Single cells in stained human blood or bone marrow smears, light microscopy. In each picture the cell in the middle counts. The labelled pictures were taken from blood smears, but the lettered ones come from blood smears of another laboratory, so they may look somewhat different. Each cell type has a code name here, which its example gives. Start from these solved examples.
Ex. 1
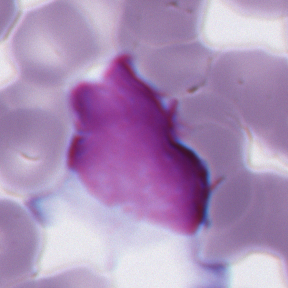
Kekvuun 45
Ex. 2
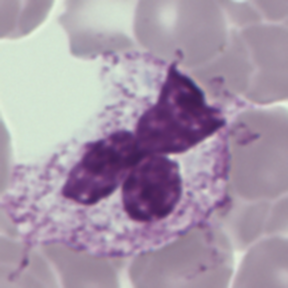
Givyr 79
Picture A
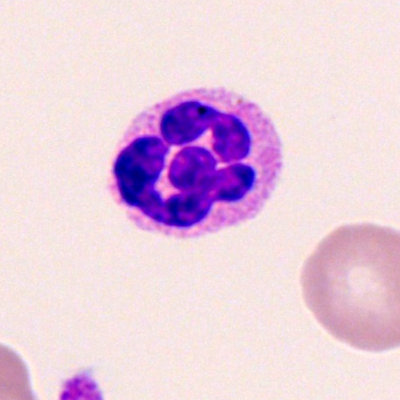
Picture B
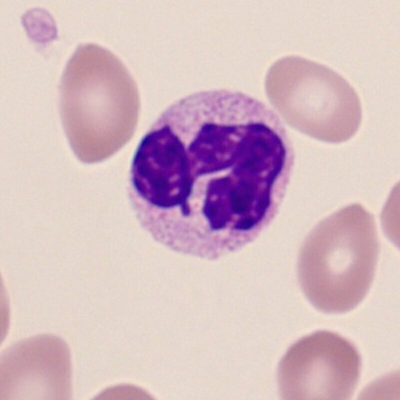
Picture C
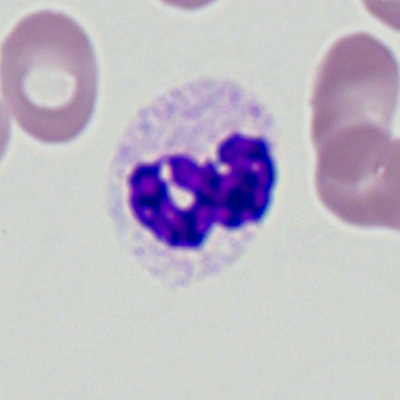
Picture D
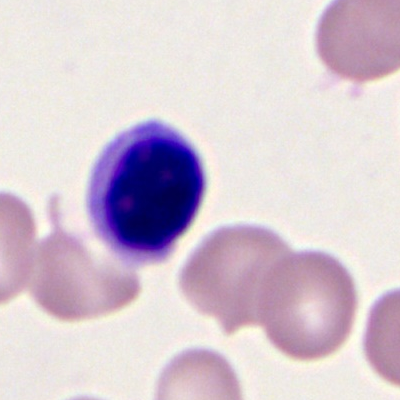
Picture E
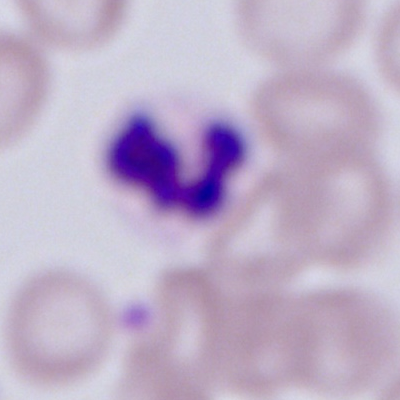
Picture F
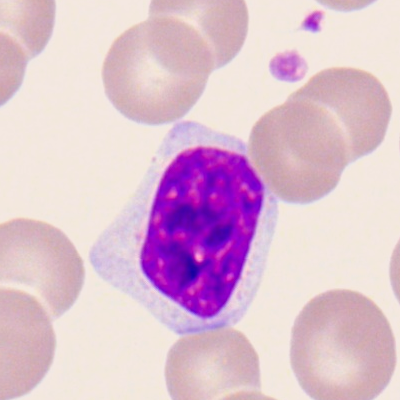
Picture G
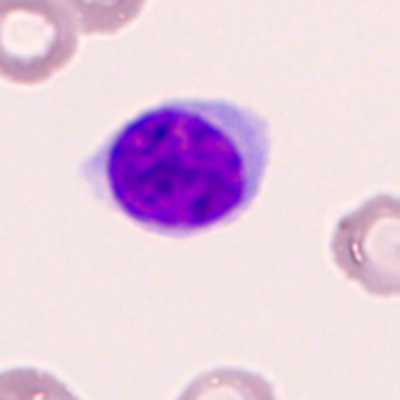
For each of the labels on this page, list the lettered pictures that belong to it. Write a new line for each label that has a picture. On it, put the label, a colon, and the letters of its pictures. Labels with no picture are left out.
Kekvuun 45: D, F, G
Givyr 79: A, B, C, E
